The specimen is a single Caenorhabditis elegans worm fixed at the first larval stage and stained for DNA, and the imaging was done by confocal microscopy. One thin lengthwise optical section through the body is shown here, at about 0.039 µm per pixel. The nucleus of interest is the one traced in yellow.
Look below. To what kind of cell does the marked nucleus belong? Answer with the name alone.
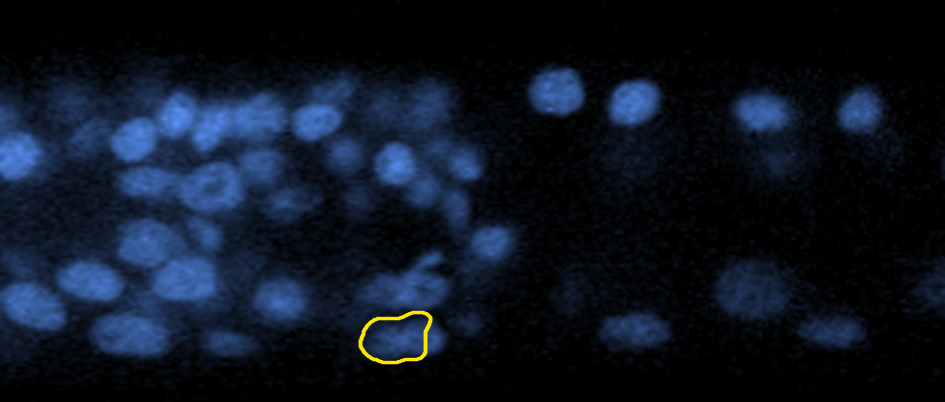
body wall muscle cell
